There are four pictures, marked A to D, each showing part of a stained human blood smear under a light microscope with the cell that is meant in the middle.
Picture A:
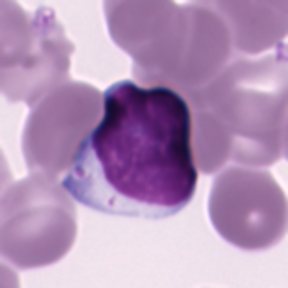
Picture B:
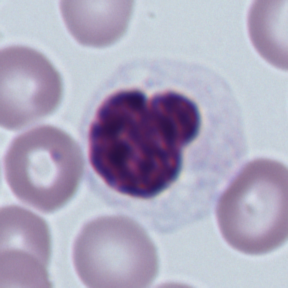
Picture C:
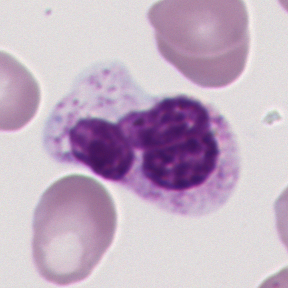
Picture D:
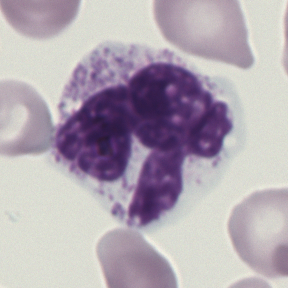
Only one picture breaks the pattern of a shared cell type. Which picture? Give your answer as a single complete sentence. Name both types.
The others show segmented neutrophils, but picture A shows a large granular lymphocyte.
